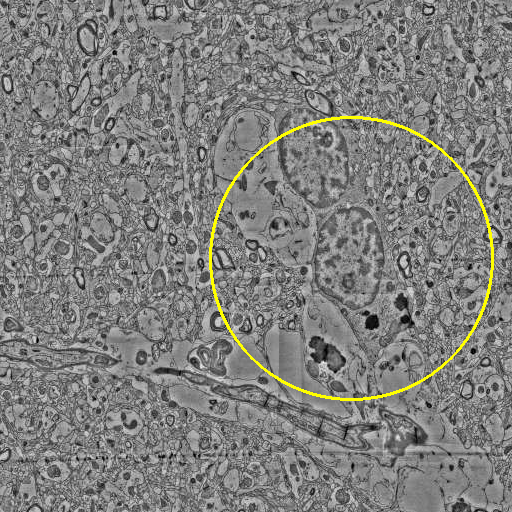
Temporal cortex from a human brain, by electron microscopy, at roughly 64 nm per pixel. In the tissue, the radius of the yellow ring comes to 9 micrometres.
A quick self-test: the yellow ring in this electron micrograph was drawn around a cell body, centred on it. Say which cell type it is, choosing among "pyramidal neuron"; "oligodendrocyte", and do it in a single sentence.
The yellow-ringed cell is an oligodendrocyte.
